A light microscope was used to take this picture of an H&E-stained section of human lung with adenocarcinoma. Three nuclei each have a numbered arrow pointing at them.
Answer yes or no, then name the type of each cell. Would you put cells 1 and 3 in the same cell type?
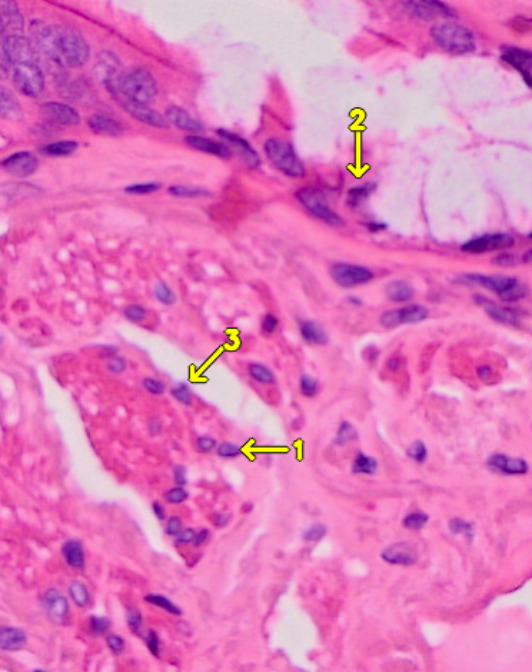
Yes, cell 1 is among the smooth muscle cells or pericytes, and cell 3 is as well.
